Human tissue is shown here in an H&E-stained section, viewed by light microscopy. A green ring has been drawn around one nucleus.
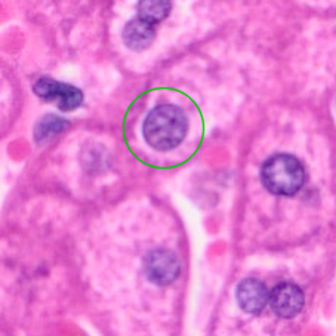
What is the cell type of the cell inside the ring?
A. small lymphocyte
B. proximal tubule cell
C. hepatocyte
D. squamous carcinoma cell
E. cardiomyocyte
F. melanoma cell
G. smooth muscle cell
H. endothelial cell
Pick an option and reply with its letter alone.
C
